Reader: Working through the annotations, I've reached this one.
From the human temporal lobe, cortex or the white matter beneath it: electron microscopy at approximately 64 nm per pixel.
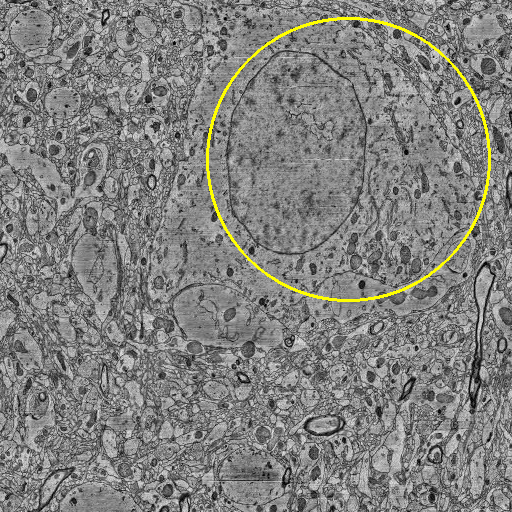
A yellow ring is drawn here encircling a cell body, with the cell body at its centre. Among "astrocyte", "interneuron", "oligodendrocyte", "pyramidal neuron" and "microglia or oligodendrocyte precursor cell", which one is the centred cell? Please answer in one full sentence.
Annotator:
The cell body at the centre of the yellow ring in this image belongs to a pyramidal neuron.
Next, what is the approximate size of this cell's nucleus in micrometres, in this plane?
Clearly longer than it is wide in this plane, the nucleus measures roughly 14 by 9 micrometres.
